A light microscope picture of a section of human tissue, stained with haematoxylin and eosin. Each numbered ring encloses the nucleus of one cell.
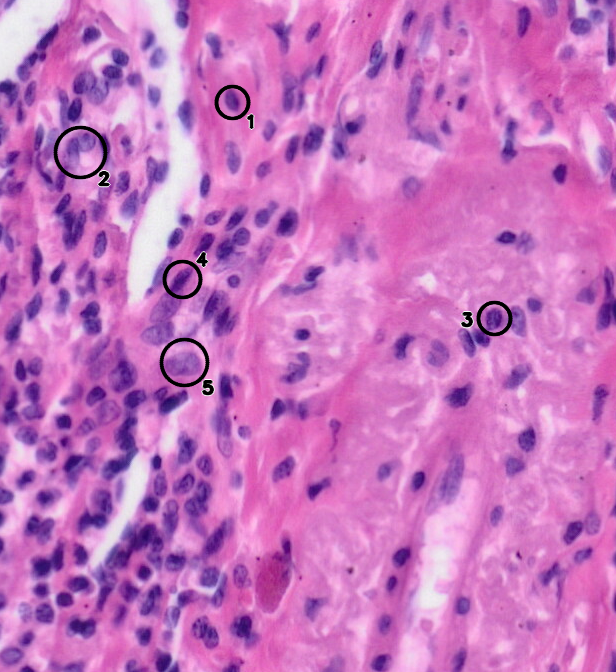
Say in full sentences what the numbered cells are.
Cell 1 is a mast cell. Cells 2, 4 and 5 are endothelial cells. Cell 3 is a plasma cell.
